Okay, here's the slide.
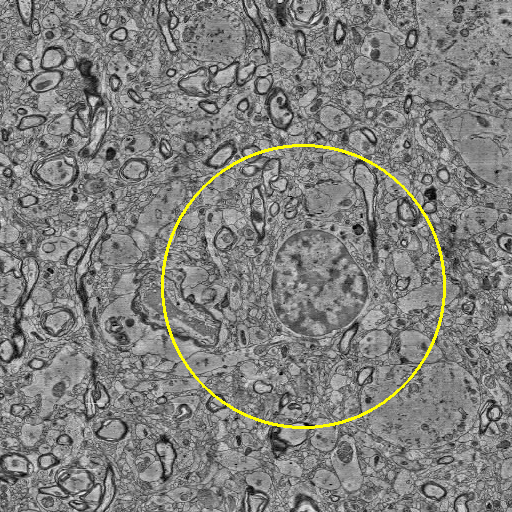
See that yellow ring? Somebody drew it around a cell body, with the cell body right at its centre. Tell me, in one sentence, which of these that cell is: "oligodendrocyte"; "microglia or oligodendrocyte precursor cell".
The cell in the middle of the ring is a microglial cell or oligodendrocyte precursor cell.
